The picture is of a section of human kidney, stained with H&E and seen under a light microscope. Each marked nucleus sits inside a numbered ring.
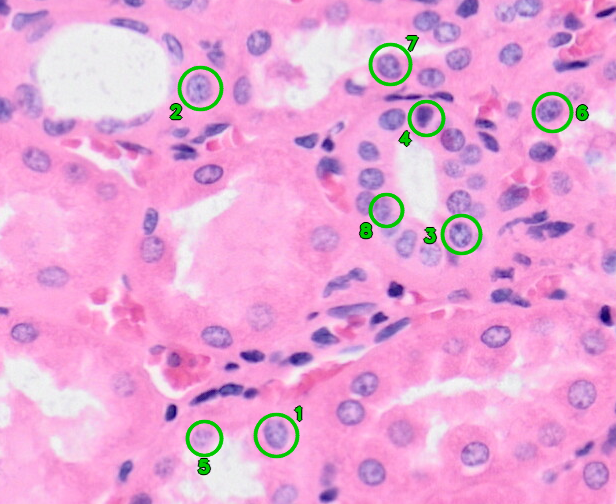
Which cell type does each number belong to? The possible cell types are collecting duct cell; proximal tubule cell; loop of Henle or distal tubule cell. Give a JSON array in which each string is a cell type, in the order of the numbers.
["loop of Henle or distal tubule cell", "loop of Henle or distal tubule cell", "collecting duct cell", "collecting duct cell", "loop of Henle or distal tubule cell", "loop of Henle or distal tubule cell", "loop of Henle or distal tubule cell", "collecting duct cell"]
